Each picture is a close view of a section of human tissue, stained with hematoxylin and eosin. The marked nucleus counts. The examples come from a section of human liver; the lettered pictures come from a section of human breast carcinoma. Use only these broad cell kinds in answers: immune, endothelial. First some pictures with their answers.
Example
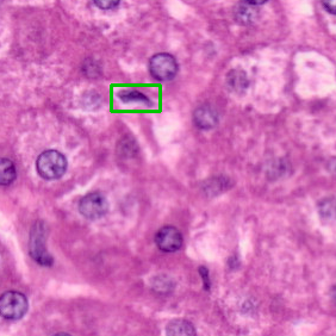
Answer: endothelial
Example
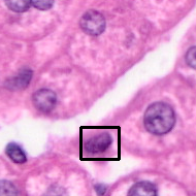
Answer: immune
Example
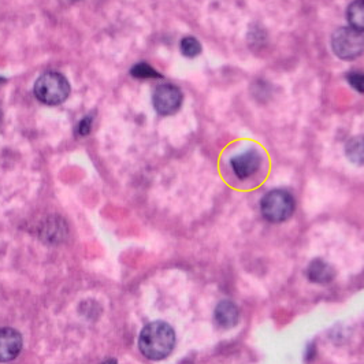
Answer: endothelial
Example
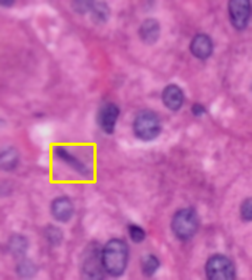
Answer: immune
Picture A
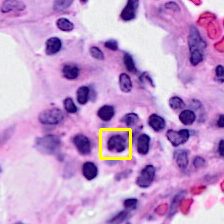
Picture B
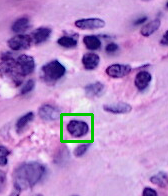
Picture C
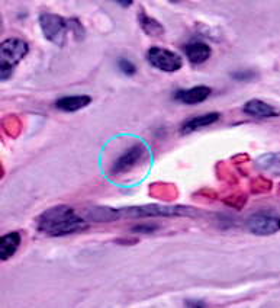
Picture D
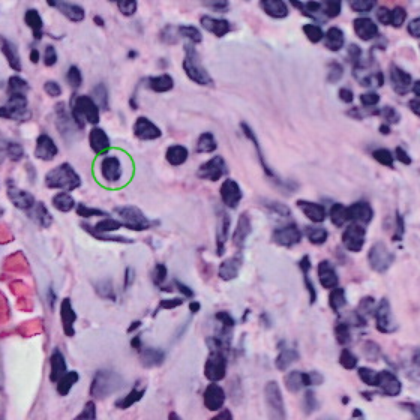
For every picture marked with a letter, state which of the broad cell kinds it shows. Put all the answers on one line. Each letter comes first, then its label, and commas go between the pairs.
A immune, B immune, C endothelial, D immune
